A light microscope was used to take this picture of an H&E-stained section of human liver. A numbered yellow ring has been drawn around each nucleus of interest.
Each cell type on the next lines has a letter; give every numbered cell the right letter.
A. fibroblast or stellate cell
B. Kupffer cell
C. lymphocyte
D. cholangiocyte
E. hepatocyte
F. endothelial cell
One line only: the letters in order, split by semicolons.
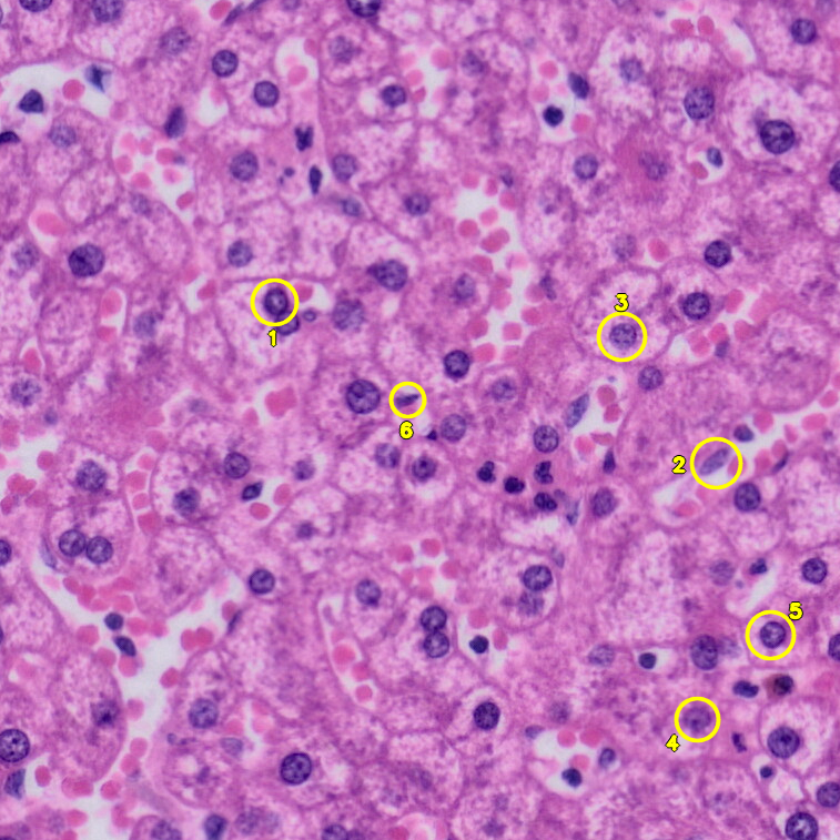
E; B; E; E; E; F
